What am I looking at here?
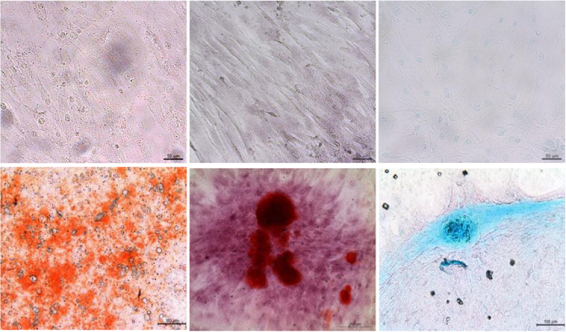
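In the differentiated cultures, one shows many small orange-red lipid droplets packed throughout the cells. Another shows dense, dark red nodular deposits over a reddish layer of cells, and the third shows a streak of blue-stained matrix among pale cells.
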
